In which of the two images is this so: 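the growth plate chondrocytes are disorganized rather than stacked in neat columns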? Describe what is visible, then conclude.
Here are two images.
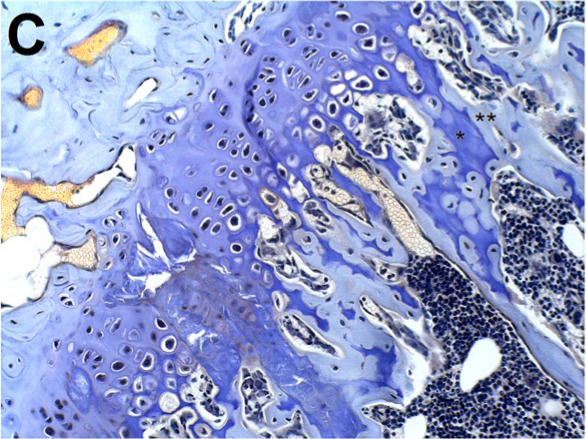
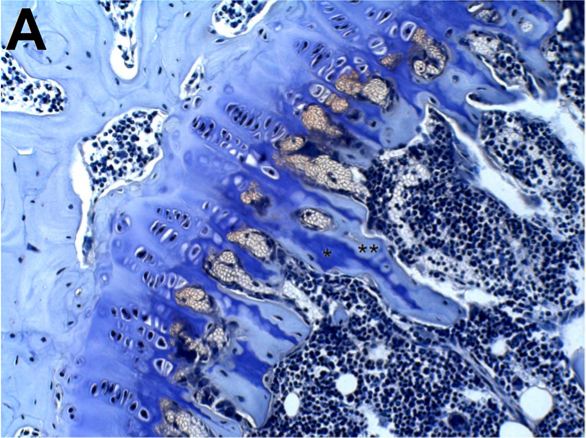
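First image: chondrocytes lie in irregular clusters and scattered groups with little columnar order. Second image: chondrocytes are stacked in regular parallel columns.
Answer: the first image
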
